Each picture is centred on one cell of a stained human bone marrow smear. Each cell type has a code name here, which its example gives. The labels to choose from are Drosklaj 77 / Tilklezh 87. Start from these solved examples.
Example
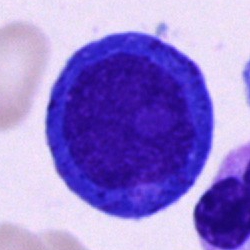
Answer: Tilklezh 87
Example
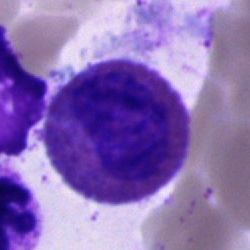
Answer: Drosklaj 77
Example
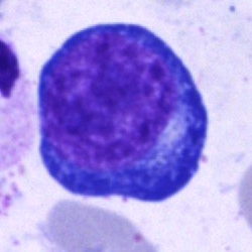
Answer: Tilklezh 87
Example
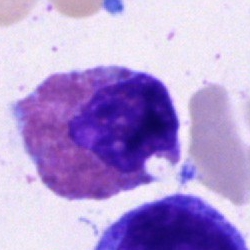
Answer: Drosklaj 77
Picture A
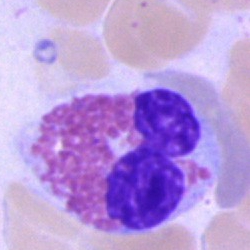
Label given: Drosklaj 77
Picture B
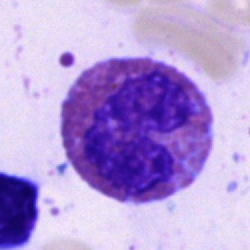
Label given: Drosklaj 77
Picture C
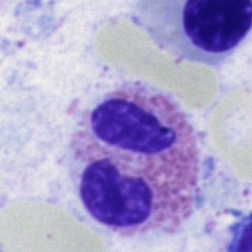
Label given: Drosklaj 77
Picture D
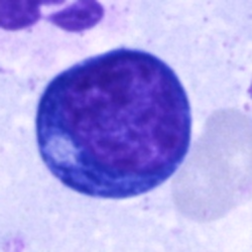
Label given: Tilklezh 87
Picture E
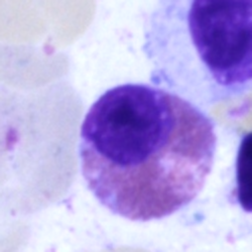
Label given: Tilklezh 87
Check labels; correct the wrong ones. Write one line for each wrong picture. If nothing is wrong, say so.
E: Drosklaj 77, not Tilklezh 87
